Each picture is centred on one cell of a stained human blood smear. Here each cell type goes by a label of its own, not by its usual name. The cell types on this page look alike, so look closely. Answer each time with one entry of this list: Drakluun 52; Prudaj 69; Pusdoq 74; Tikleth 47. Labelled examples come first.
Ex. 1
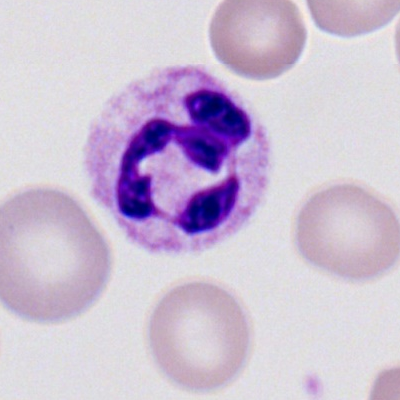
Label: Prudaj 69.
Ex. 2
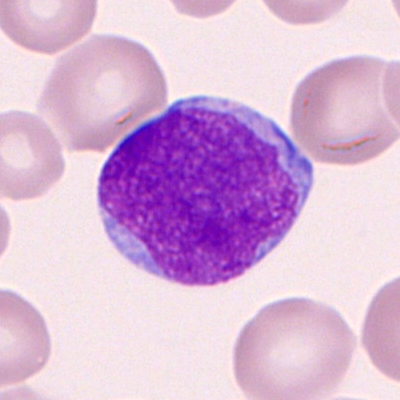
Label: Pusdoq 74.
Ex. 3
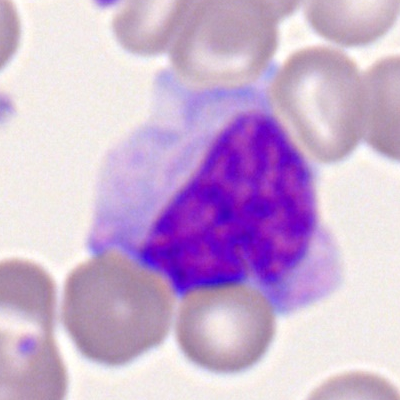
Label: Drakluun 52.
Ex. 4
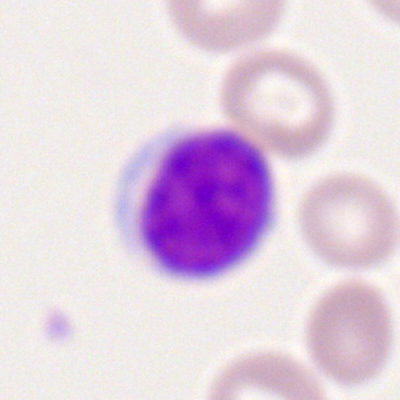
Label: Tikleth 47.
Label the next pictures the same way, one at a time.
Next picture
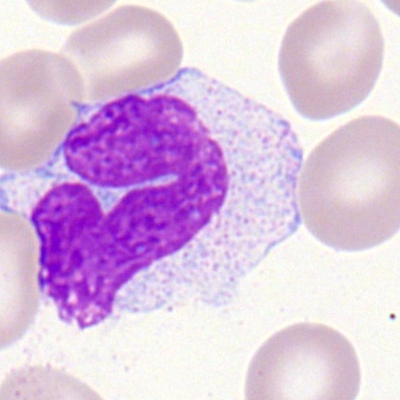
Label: Drakluun 52.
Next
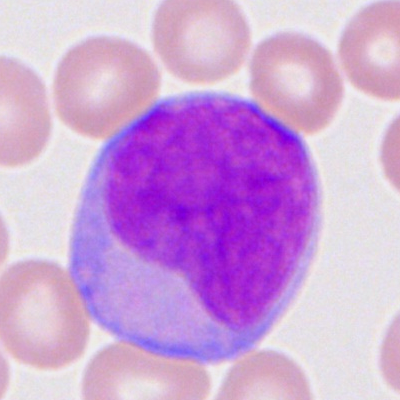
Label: Pusdoq 74.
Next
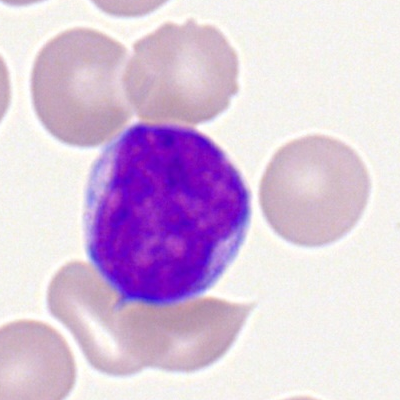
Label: Pusdoq 74.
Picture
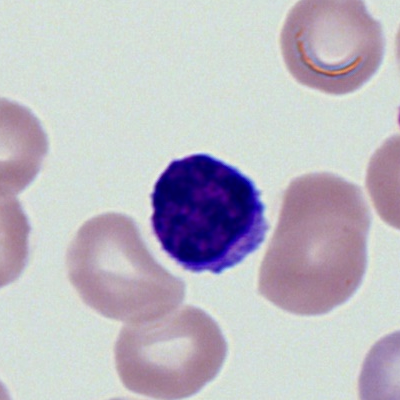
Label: Tikleth 47.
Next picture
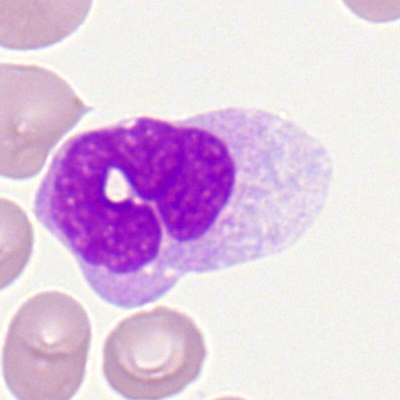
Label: Drakluun 52.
